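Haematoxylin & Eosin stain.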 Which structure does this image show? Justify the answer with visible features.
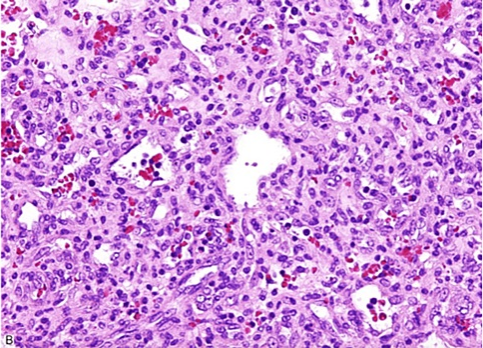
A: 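Back-to-back capillary-size vascular spaces. Many small, closely packed spaces, several containing red blood cells.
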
